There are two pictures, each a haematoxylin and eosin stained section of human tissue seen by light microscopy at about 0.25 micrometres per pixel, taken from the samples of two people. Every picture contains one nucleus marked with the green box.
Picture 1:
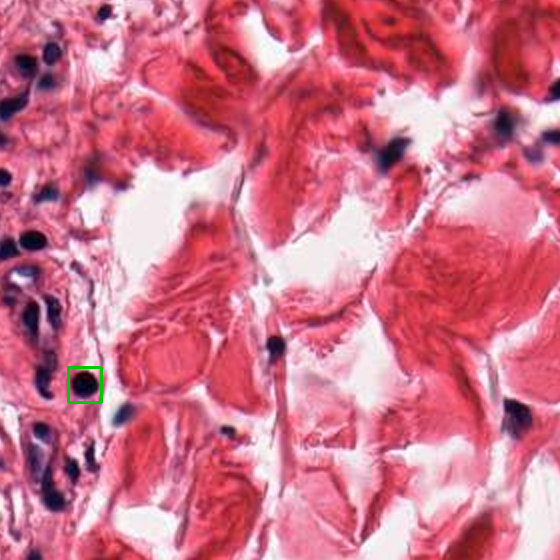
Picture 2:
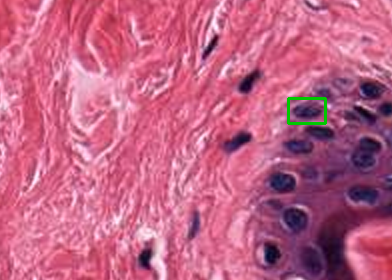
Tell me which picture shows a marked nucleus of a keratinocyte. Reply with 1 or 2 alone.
2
